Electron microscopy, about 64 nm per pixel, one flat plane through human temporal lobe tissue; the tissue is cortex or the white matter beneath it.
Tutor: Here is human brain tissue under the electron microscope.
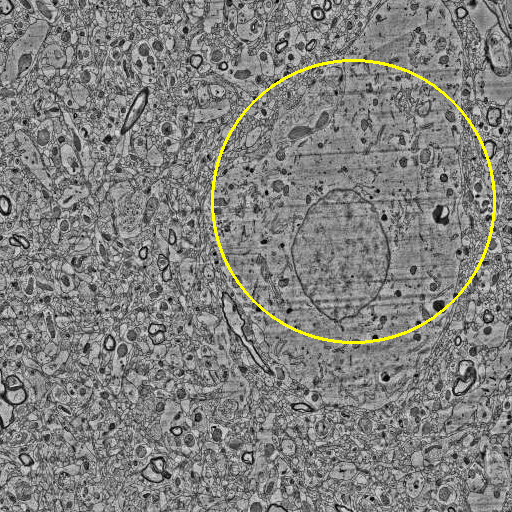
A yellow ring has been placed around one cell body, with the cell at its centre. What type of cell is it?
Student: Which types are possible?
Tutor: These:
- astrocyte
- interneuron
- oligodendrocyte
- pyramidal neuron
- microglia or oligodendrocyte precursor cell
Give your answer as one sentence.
What the ring picks out here is a pyramidal neuron.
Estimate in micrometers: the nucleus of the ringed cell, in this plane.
In this plane the nucleus is about 8 micrometres by 6.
